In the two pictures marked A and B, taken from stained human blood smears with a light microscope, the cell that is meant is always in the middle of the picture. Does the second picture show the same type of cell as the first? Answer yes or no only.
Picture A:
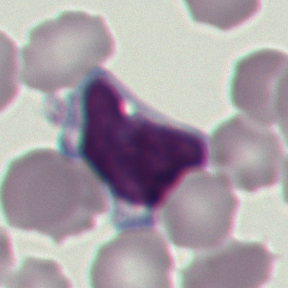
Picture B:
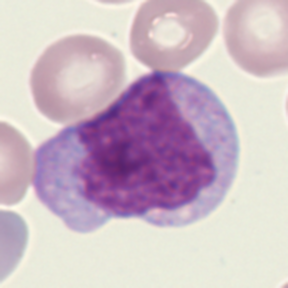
no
